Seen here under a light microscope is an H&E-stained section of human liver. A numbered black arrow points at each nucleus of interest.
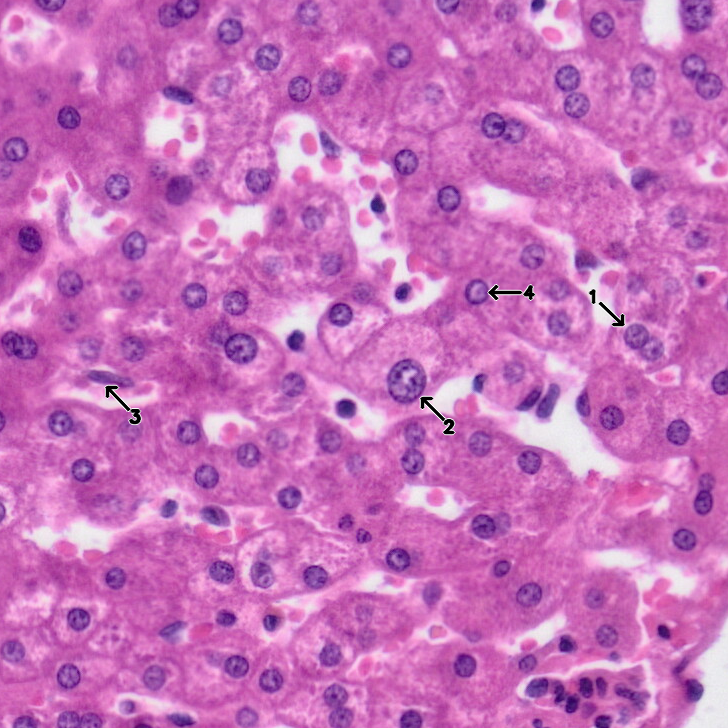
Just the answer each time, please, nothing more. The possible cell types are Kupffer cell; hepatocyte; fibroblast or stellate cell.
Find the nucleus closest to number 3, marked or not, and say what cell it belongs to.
hepatocyte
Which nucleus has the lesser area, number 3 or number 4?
3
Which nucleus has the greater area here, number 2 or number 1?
2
